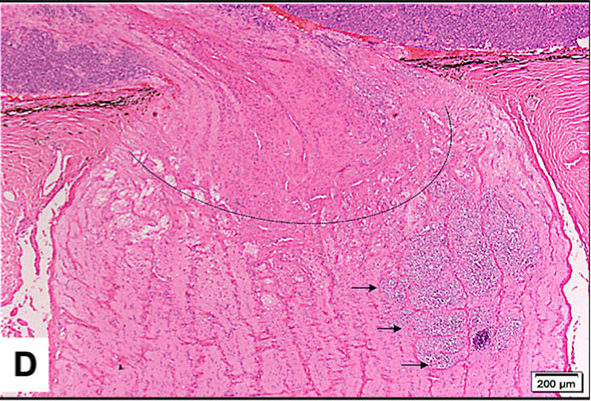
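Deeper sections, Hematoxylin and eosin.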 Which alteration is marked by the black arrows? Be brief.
islands of tumor cells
